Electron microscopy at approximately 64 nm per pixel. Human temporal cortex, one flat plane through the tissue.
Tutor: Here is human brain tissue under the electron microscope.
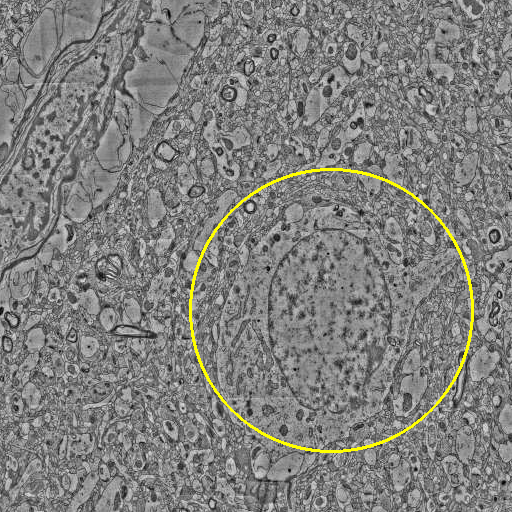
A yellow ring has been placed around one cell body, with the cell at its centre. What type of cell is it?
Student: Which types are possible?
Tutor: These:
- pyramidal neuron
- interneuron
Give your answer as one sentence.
What the ring picks out here is an interneuron.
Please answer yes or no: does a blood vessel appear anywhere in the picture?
Yes, a blood vessel can be seen.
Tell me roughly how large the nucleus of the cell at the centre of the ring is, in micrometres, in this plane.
The nucleus of the ringed cell is approximately 12 by 8 micrometres in this plane.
